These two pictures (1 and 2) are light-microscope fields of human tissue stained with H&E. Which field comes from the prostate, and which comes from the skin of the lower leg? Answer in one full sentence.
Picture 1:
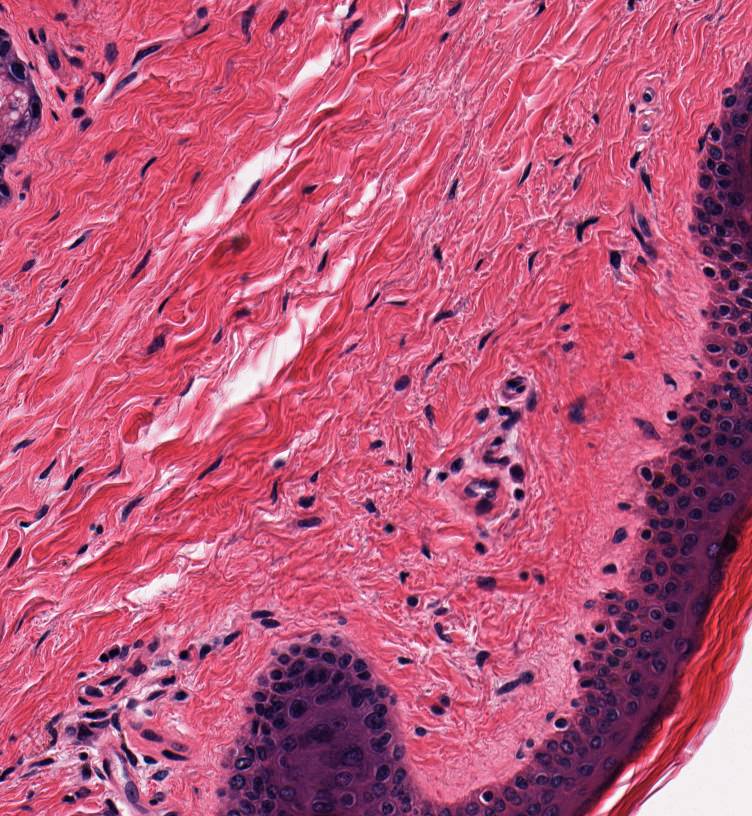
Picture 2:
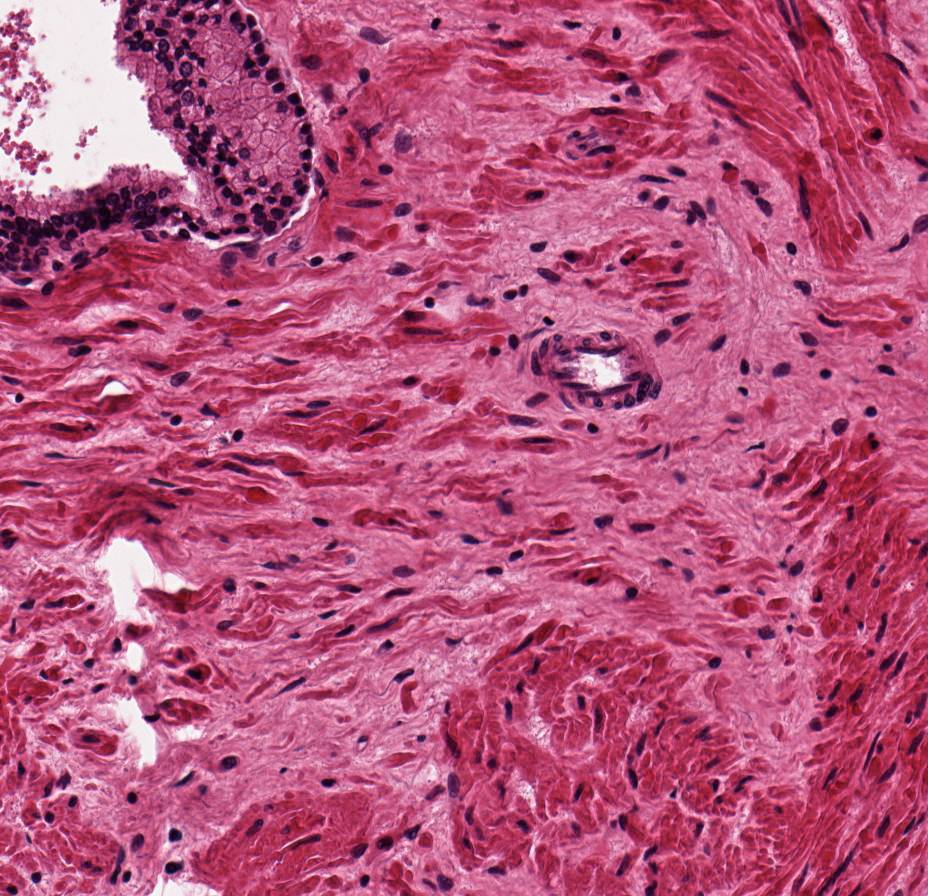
Picture 1 comes from the skin of the lower leg and picture 2 comes from the prostate.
